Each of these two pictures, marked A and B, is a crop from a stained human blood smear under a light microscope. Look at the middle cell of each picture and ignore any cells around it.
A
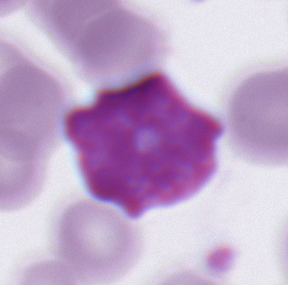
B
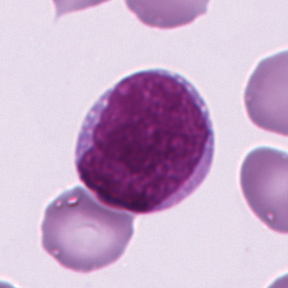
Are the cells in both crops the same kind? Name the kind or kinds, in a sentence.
No, crop A shows a smudge cell, and crop B, by contrast, shows a myeloblast.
